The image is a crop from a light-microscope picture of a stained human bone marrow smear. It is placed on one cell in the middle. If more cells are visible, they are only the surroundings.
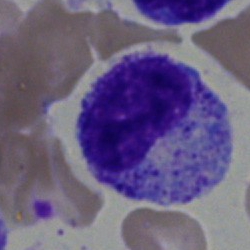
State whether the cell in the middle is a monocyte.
no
